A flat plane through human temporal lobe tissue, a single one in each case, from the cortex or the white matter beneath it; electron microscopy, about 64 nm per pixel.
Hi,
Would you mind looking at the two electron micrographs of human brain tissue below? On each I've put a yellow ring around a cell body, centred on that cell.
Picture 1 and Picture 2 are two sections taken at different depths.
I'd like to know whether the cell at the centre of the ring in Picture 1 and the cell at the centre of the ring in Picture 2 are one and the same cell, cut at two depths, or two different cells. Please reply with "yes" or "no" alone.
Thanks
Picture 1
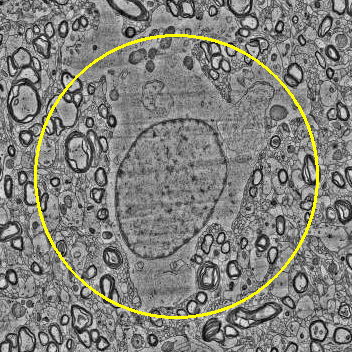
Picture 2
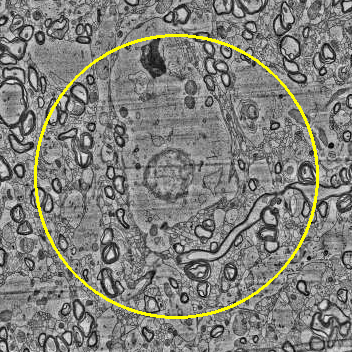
yes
